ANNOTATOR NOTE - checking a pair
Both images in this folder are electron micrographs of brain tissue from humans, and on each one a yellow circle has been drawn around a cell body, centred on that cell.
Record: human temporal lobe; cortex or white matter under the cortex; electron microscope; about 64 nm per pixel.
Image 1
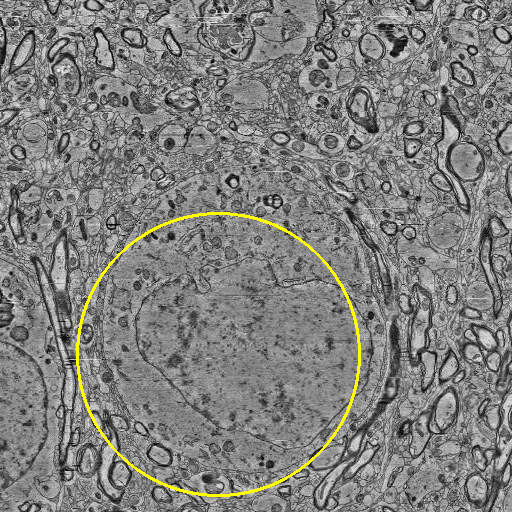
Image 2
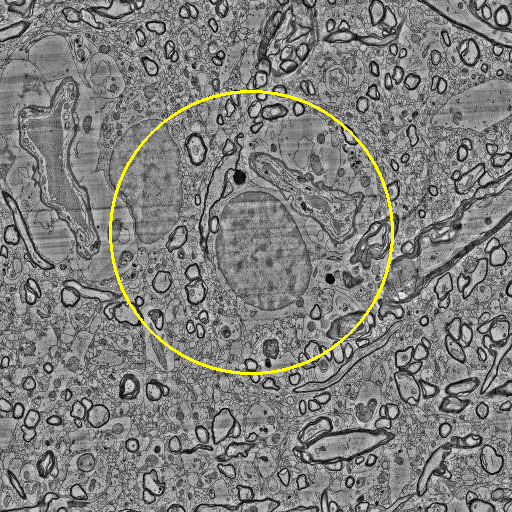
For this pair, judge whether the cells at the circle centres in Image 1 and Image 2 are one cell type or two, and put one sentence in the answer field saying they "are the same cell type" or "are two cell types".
For this pair, the cells at the circle centres in Images 1 and 2 are two cell types.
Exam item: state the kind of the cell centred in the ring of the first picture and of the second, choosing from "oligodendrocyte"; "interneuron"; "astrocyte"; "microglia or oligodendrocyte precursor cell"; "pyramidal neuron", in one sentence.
The first picture shows a pyramidal neuron at the ring centre and the second shows an oligodendrocyte.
